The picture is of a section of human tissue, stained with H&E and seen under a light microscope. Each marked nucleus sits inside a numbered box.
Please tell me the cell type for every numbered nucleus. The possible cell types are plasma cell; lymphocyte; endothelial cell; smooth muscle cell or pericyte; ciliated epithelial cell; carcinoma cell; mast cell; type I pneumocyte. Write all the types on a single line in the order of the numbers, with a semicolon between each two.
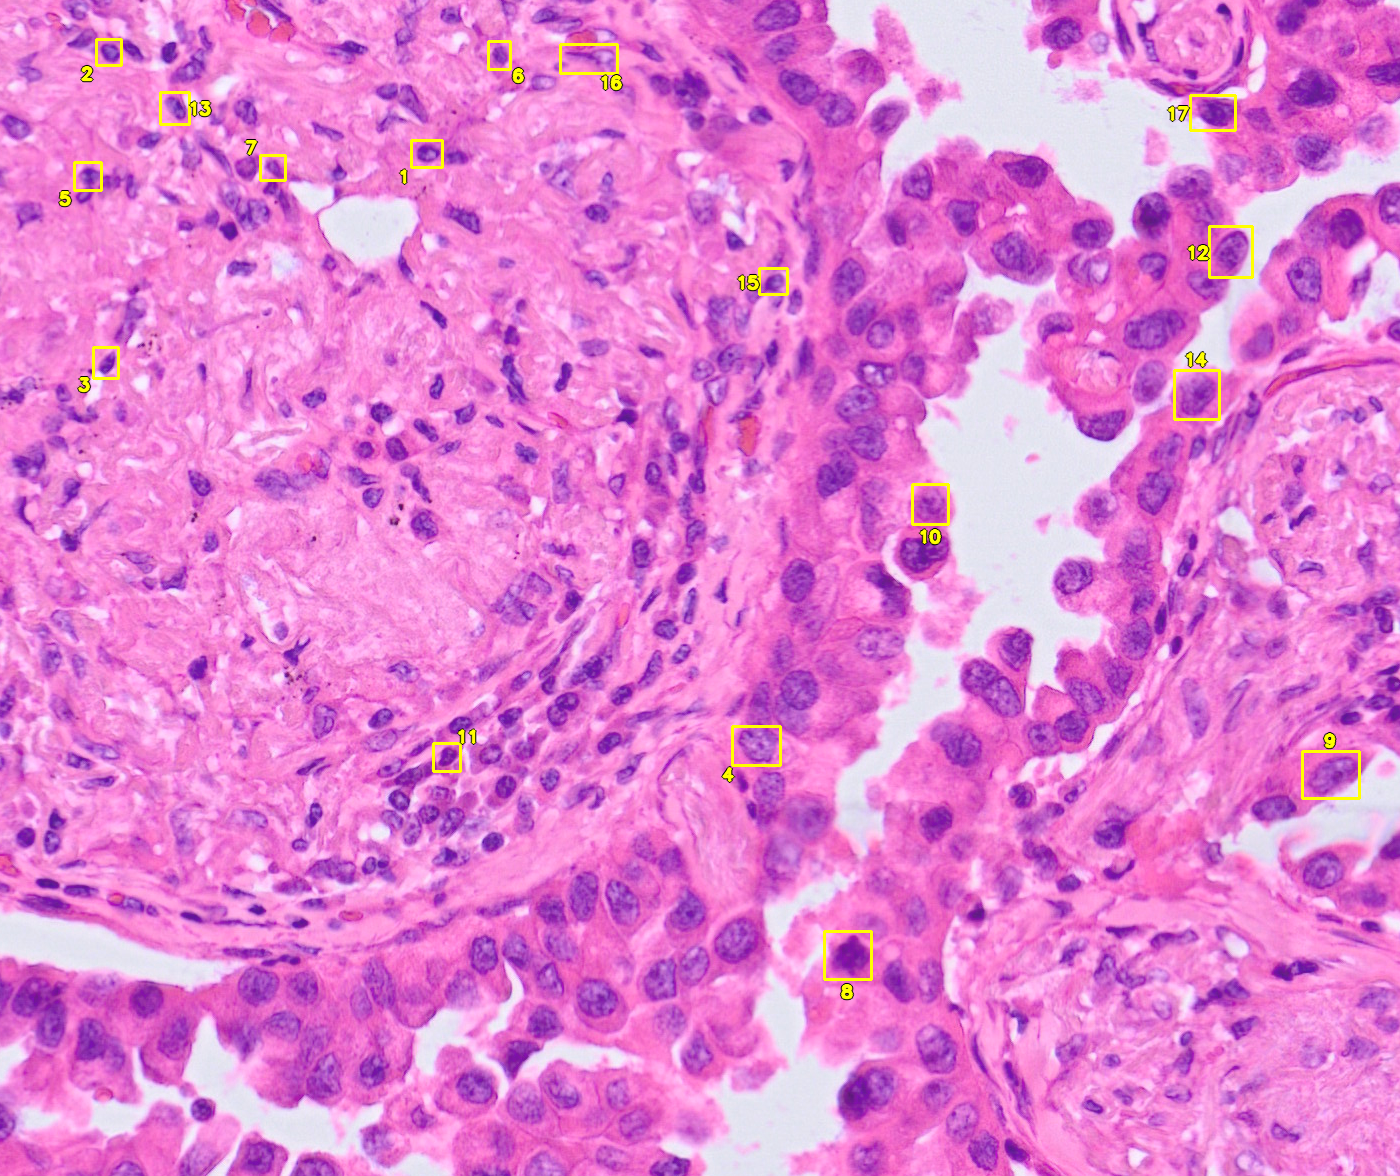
plasma cell; mast cell; lymphocyte; carcinoma cell; lymphocyte; plasma cell; plasma cell; carcinoma cell; carcinoma cell; carcinoma cell; plasma cell; carcinoma cell; mast cell; carcinoma cell; lymphocyte; endothelial cell; carcinoma cell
